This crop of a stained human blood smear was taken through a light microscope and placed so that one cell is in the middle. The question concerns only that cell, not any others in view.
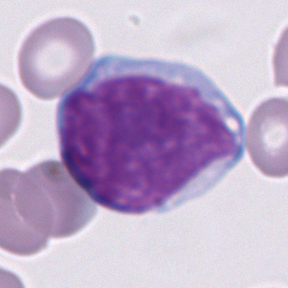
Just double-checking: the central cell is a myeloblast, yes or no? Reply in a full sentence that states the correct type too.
Yes, that is right: the middle cell is a myeloblast.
